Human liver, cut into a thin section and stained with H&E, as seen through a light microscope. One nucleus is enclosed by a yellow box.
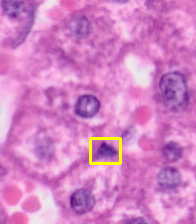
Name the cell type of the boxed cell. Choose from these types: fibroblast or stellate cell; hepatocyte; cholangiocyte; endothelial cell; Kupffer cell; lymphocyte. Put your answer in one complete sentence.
The category to which the boxed cell belongs is that of a fibroblast or stellate cell.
